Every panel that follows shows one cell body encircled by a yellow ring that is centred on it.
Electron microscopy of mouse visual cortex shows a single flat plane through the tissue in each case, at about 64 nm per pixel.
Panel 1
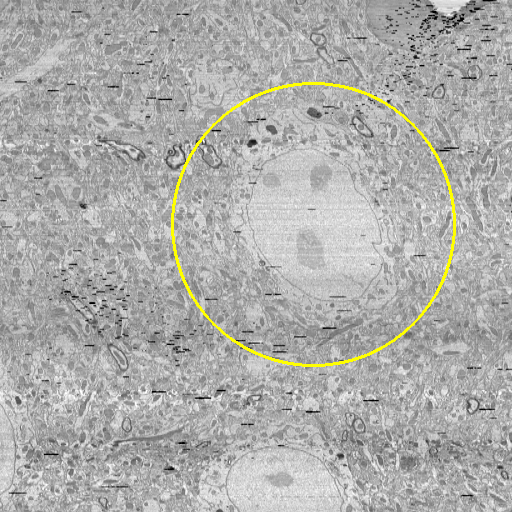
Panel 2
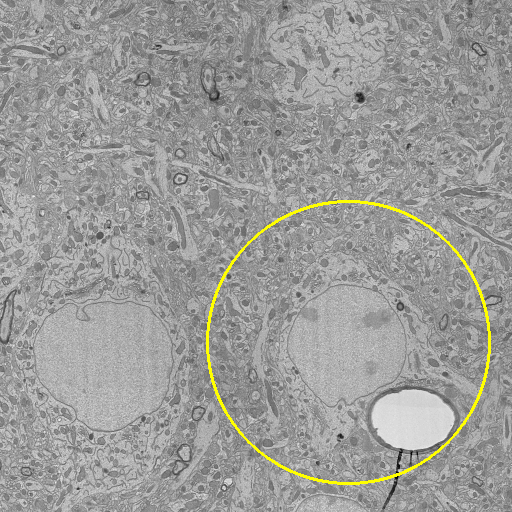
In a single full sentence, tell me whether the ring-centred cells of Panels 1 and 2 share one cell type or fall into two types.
In Panel 1 and Panel 2, the cells at the ring centres share one cell type.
